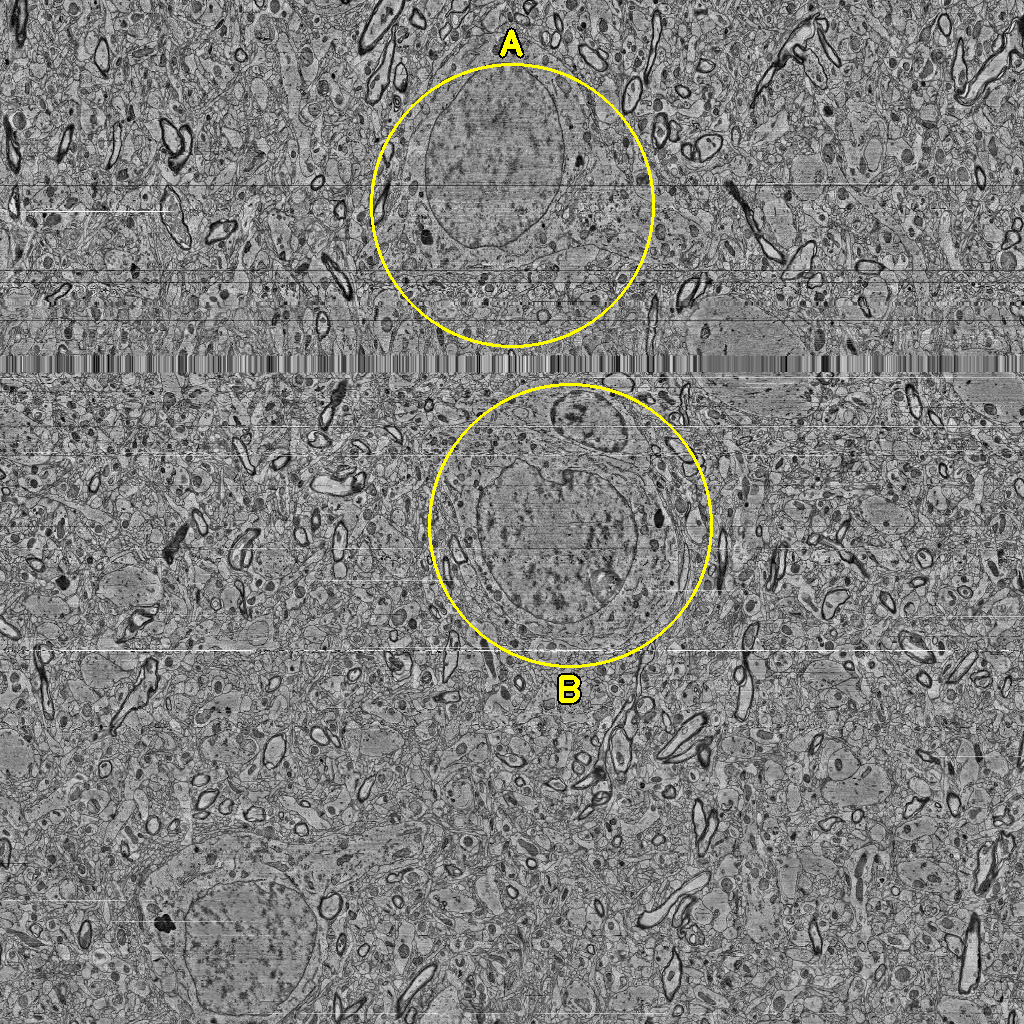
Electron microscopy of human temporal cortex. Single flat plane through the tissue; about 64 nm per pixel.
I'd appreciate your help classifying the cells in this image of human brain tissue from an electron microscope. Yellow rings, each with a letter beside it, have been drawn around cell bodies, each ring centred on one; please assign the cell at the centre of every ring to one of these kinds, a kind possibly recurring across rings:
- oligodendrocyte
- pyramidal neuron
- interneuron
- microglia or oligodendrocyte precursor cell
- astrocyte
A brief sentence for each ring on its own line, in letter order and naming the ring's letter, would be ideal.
In ring A, the central cell is a pyramidal neuron.
In ring B, the central cell is an interneuron.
